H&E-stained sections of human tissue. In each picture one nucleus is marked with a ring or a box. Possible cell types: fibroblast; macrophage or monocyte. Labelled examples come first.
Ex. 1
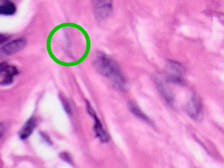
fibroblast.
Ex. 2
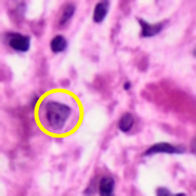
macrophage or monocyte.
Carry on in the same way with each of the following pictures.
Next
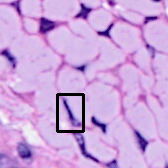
fibroblast.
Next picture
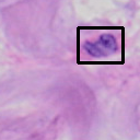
macrophage or monocyte.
